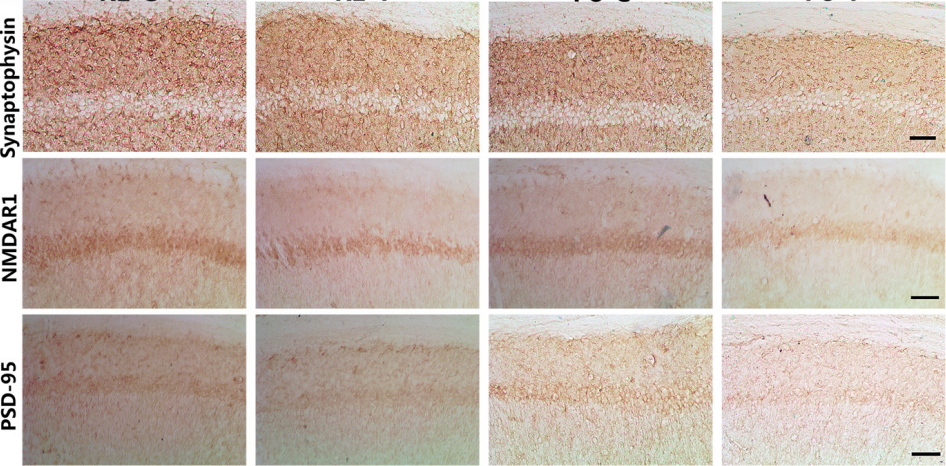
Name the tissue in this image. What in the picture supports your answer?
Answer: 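Hippocampus. A curved band of densely packed rounded neuronal cell bodies runs across each image.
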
